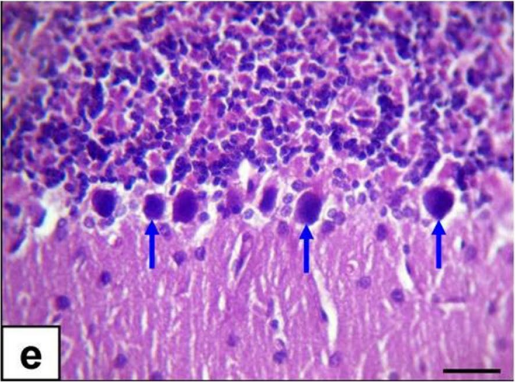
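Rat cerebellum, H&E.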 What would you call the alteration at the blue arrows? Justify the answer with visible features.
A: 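Shrinkage, and darkly stained Purkinje cell. A row of cell bodies stained homogeneously dark purple. Nuclear detail is obscured in the marked cells.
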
